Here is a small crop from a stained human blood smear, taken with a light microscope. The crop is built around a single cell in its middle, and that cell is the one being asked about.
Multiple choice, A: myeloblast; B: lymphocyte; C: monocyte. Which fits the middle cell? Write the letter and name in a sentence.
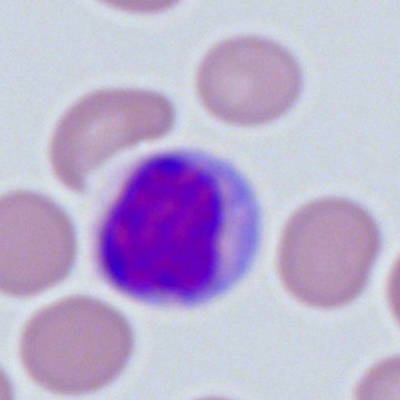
Option B is to be chosen, as the central cell is a lymphocyte.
